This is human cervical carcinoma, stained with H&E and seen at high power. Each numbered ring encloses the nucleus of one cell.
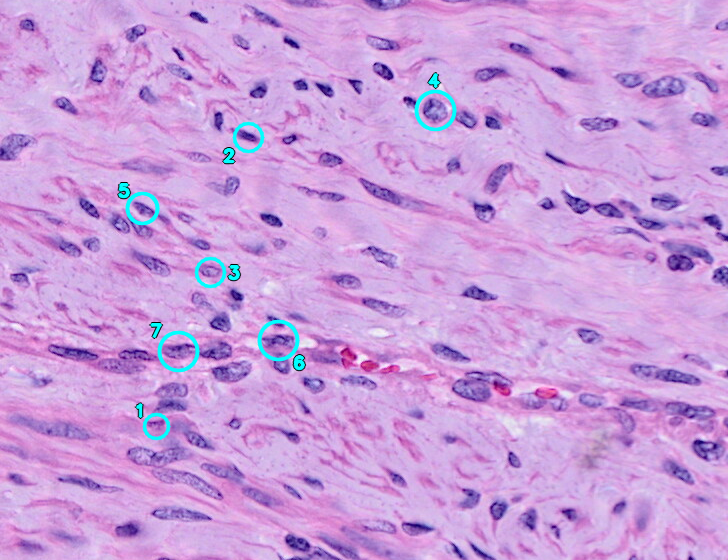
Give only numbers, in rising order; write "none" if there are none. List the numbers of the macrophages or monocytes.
none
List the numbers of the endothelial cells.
4, 6, 7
